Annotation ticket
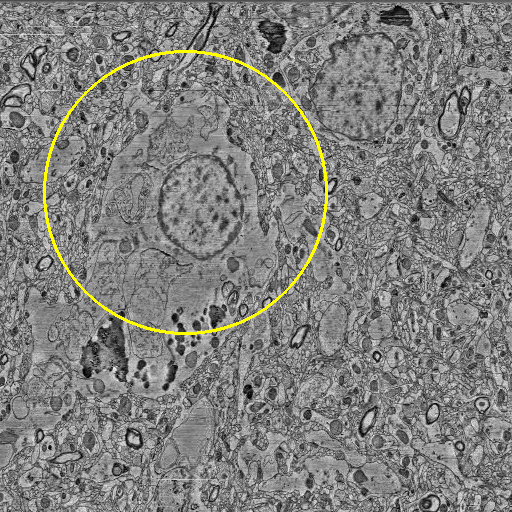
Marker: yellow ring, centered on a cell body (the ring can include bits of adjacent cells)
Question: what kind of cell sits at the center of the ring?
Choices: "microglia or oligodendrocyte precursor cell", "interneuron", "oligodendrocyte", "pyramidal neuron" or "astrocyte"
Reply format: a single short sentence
The ring is centered on an astrocyte.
